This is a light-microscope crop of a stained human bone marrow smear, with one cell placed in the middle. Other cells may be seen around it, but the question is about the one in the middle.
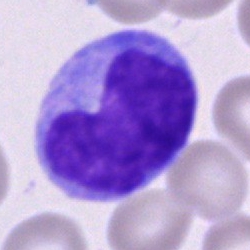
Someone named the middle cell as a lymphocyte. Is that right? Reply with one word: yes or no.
no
